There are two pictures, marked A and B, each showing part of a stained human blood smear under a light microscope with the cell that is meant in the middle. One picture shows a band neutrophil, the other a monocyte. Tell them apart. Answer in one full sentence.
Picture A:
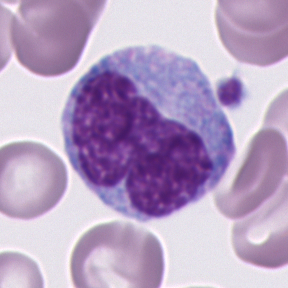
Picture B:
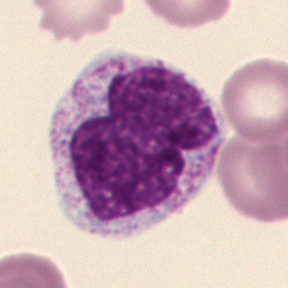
In picture A the cell is a monocyte; in picture B, a band neutrophil.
